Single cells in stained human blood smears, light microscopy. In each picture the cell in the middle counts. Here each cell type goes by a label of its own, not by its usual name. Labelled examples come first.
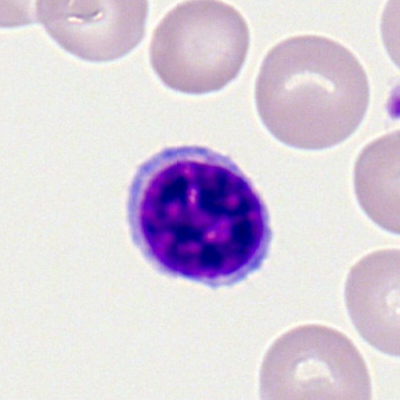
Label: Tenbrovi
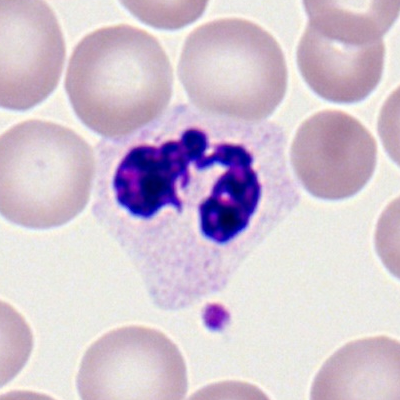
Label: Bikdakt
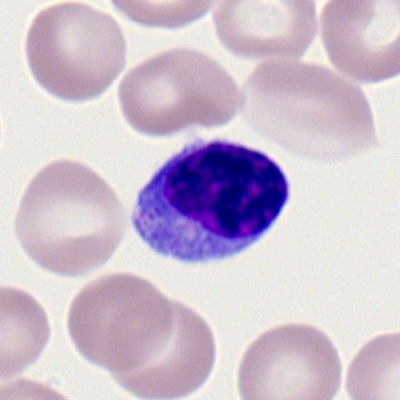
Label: Tenbrovi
